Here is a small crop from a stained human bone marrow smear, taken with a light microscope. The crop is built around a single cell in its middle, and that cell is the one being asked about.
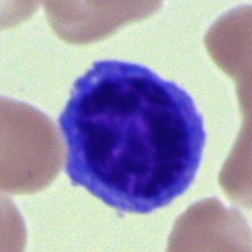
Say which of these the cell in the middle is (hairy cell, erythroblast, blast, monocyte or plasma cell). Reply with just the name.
plasma cell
